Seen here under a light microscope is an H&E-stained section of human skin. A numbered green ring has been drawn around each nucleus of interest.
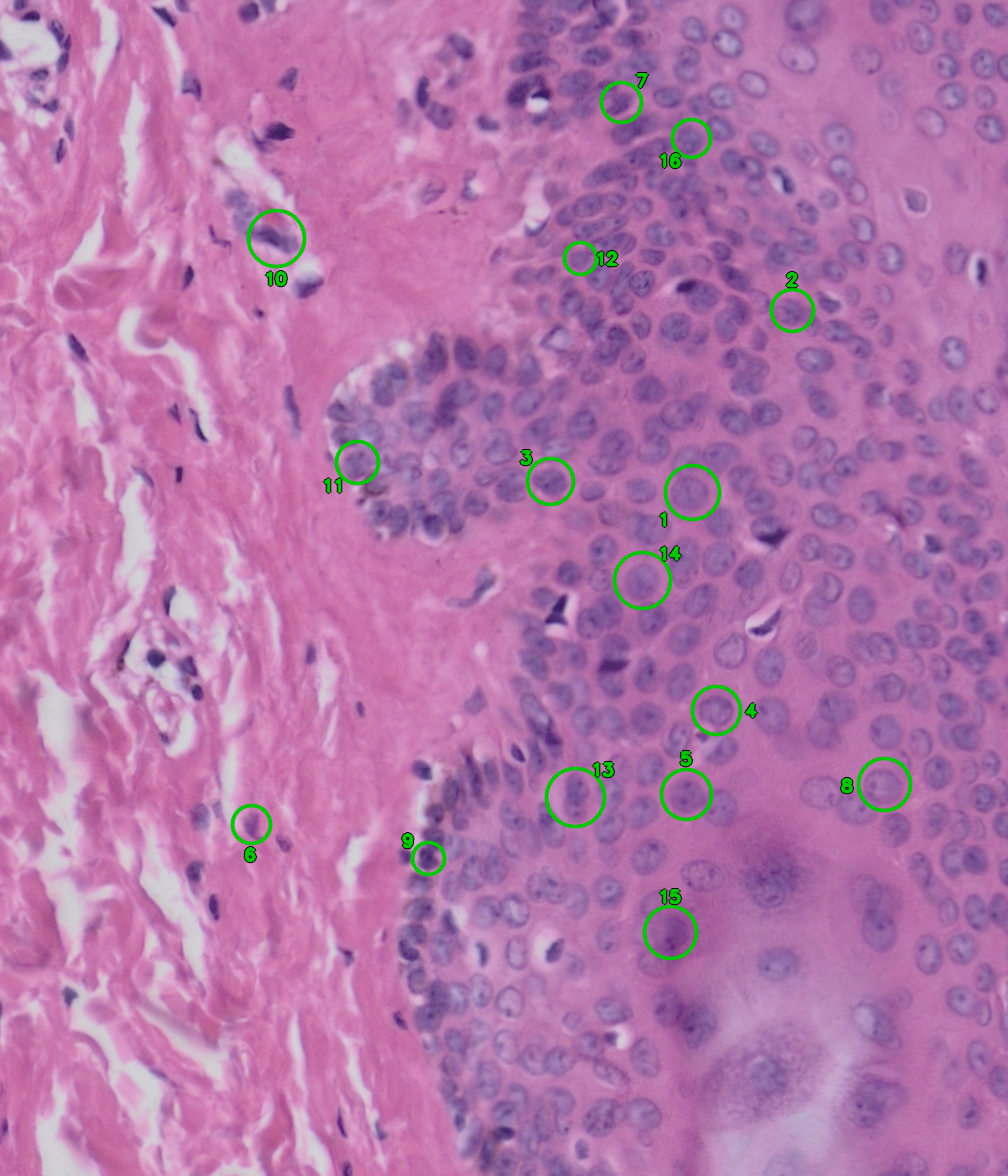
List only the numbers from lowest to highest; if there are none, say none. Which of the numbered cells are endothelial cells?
10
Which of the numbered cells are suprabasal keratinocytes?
1, 2, 4, 5, 8, 13, 14, 15, 16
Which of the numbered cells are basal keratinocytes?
3, 7, 9, 11, 12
